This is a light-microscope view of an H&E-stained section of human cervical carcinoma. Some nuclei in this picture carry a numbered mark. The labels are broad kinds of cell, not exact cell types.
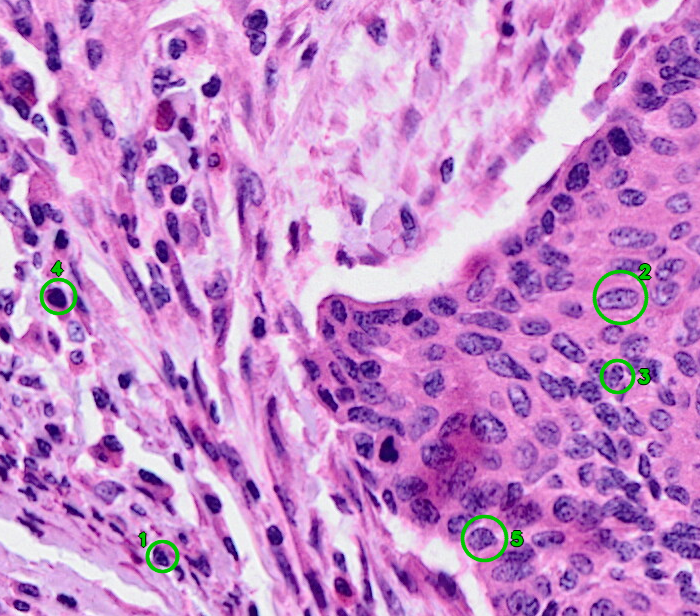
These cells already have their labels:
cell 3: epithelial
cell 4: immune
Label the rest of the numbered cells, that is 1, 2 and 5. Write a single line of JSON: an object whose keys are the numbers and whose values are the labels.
{"1": "immune", "2": "epithelial", "5": "epithelial"}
